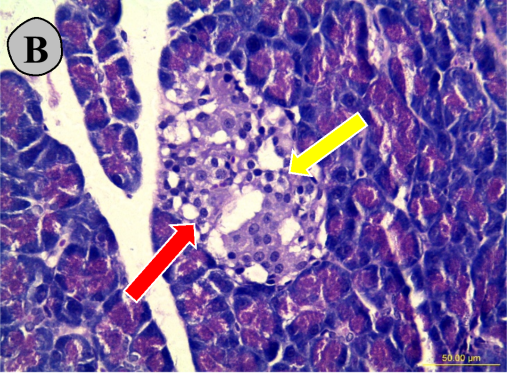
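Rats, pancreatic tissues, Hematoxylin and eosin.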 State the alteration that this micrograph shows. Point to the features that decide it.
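Structural malformation. The pale cell cluster is broken up by clear vacuoles and empty spaces. Its cells are few and loosely arranged.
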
